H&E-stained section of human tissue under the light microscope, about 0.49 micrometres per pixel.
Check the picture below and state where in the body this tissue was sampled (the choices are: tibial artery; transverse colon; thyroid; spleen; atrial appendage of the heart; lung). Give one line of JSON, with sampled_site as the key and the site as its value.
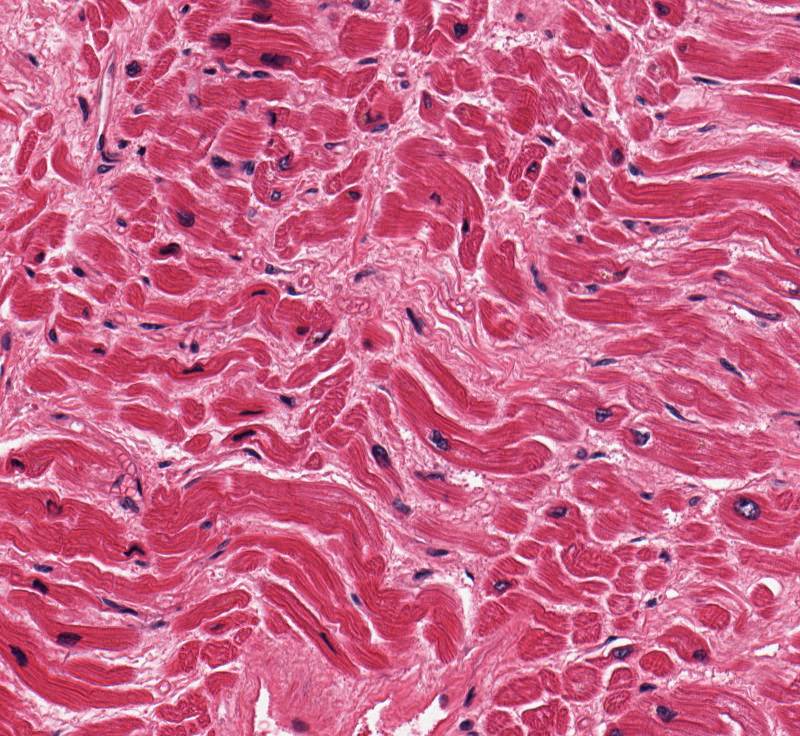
{"sampled_site": "atrial appendage of the heart"}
